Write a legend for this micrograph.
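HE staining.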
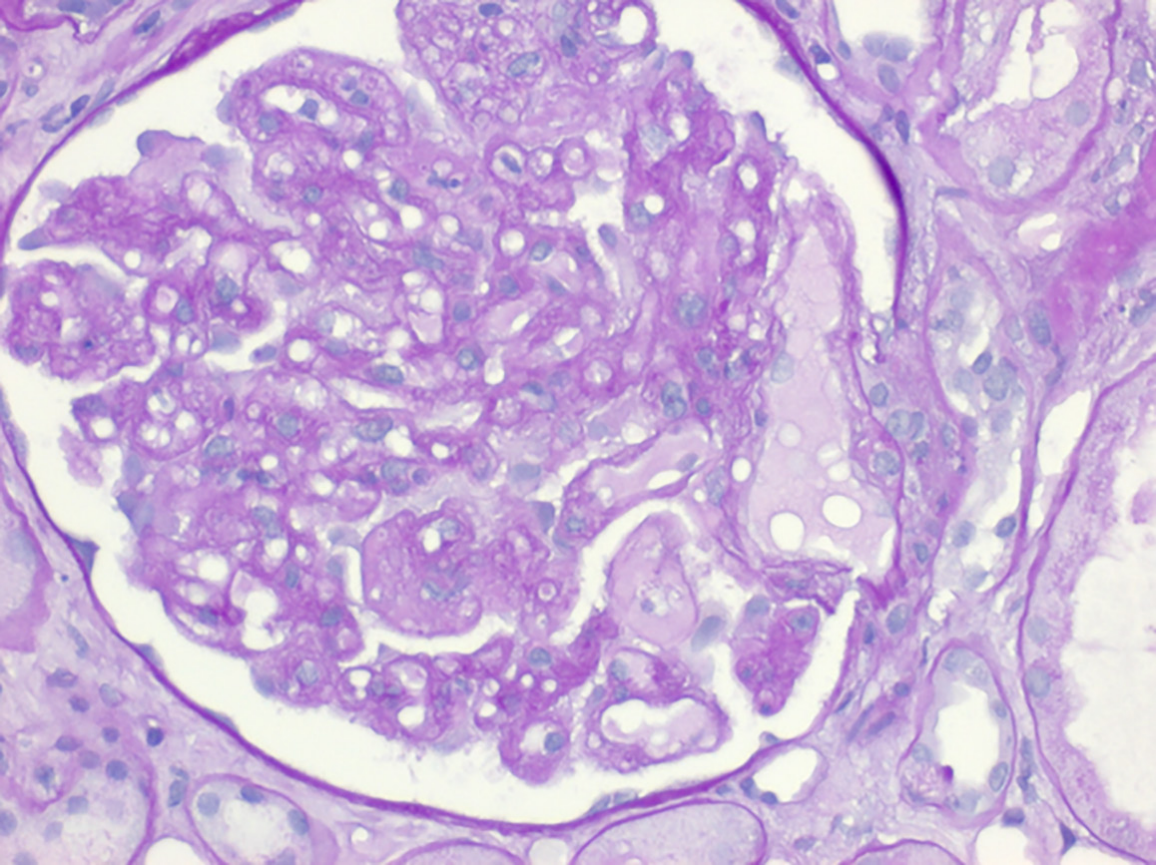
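A single glomerulus sits within a thin, dark-outlined capsule, with a clear space around a lobulated tuft of capillary loops. The tuft is surrounded by cross-cut tubules lined by cuboidal epithelium. The loops have thick magenta walls and many small round clear vacuoles, and one segment on the right is replaced by pale, homogeneous, glassy material, consistent with segmental hyalinosis of the glomerulus.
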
